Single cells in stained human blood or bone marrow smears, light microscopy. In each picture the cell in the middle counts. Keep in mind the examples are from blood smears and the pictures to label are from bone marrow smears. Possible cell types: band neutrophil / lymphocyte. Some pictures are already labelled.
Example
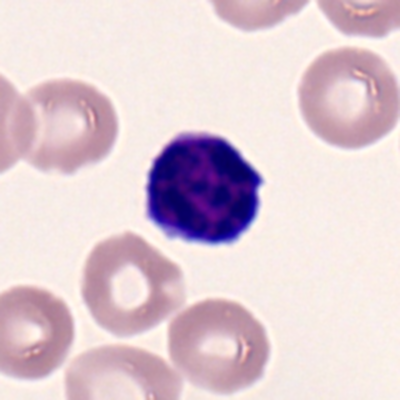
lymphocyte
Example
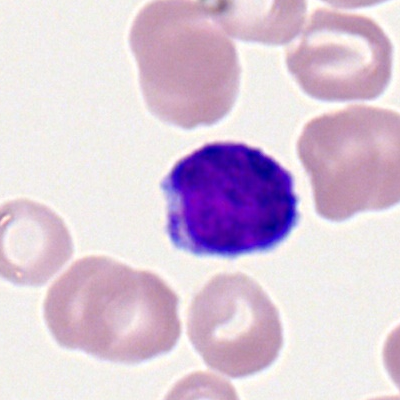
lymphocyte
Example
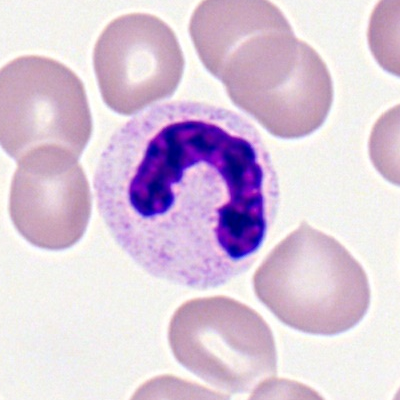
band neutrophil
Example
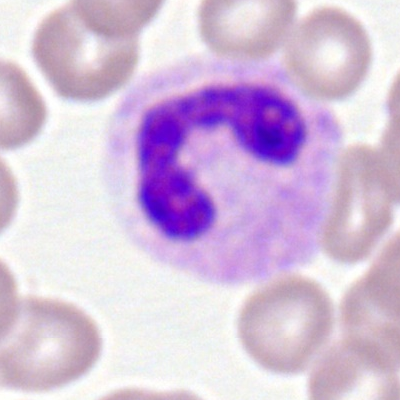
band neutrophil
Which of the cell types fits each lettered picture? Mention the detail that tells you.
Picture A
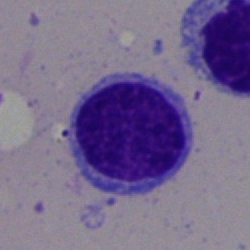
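lymphocyte: The cytoplasm forms only a narrow rim around the nucleus.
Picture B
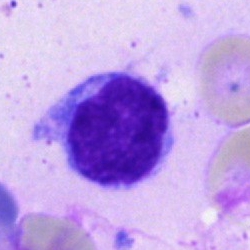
lymphocyte: The cytoplasm is scant.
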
